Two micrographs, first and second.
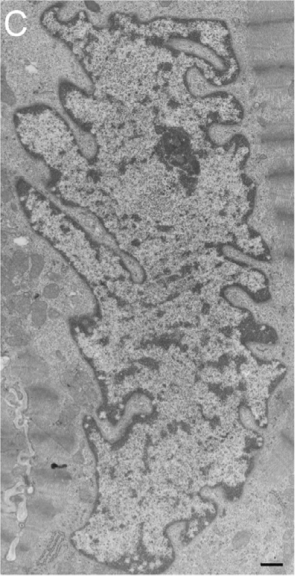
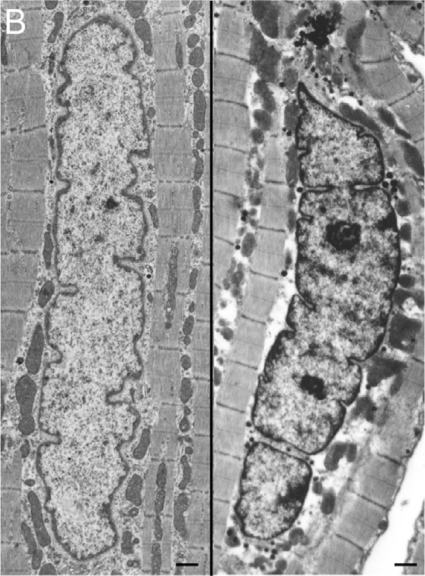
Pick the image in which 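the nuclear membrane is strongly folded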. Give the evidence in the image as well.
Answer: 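First image: the nuclear outline is deeply and repeatedly folded.
Hence: the first image.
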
